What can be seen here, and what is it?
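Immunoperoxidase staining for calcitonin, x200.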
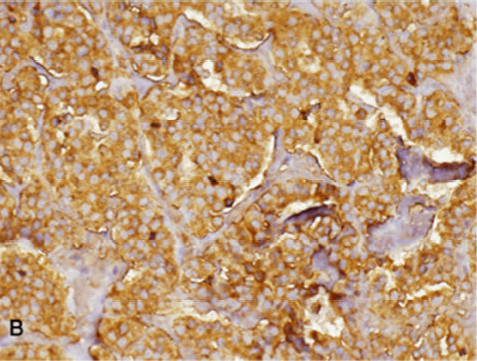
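Tumor cells of a thyroid carcinoma arranged in nests, with their cytoplasm strongly stained brown. The staining is diffuse and involves essentially every tumor cell. Nuclei appear as pale, round to oval outlines within the brown cytoplasm. The nests are separated by thin pale bluish-grey stroma with some clefts.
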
